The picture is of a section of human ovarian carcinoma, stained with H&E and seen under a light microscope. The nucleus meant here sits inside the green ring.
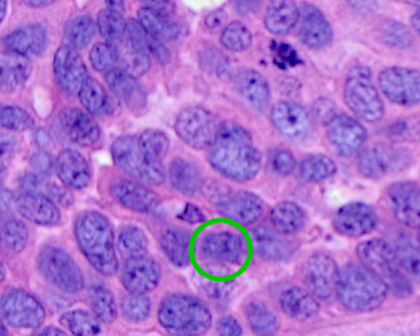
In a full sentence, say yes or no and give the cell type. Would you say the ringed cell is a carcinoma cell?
Yes, the ringed cell is one that is classed as a carcinoma cell.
